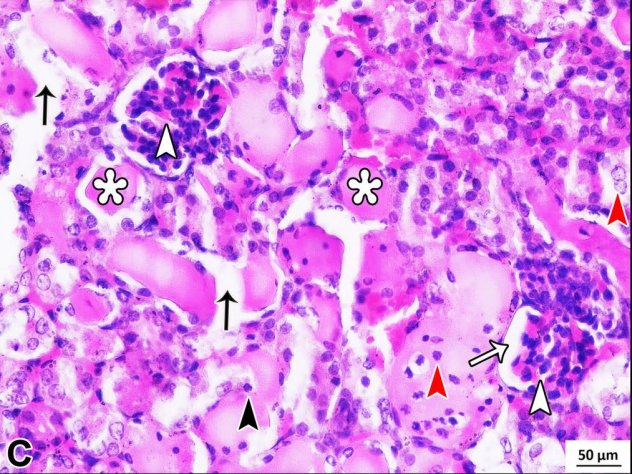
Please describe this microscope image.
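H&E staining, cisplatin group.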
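Kidney cortex with damaged tubules and glomeruli is shown. Many tubules are dilated and filled with homogeneous pink casts, while others have thinned, irregular linings and wide empty lumens. Detached epithelial cells with nuclei lie free within some tubular lumens. Glomerular tufts are crowded and lobulated, and a clear widened space separates one tuft from its capsule. Scattered tubular cells have small, dark, condensed nuclei.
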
